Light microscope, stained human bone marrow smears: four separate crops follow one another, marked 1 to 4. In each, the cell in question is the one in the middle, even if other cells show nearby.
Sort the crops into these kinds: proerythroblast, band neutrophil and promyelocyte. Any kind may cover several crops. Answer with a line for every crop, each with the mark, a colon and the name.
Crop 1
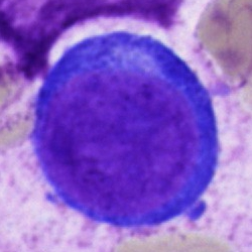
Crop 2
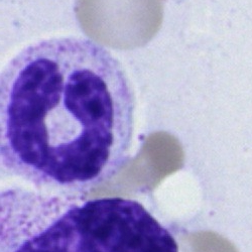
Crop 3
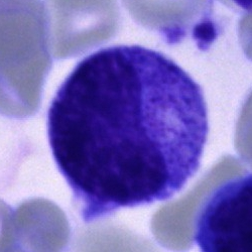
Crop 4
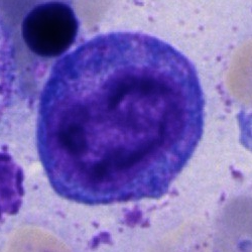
1: proerythroblast
2: band neutrophil
3: promyelocyte
4: promyelocyte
